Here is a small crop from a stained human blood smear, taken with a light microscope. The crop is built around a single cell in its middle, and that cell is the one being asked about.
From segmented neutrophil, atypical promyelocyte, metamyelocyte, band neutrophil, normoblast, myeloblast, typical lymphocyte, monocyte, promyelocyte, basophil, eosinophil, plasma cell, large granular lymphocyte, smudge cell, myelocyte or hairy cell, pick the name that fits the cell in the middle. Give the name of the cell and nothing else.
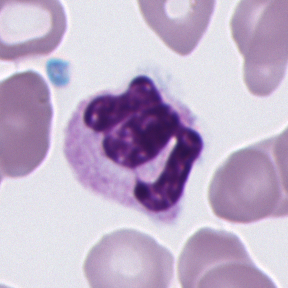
segmented neutrophil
